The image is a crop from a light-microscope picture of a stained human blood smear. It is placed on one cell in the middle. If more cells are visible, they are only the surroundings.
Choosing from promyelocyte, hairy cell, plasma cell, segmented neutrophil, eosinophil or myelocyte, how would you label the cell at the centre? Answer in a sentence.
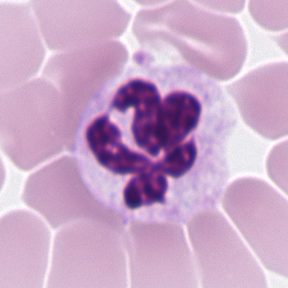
Where the crop is centred, there is a segmented neutrophil.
